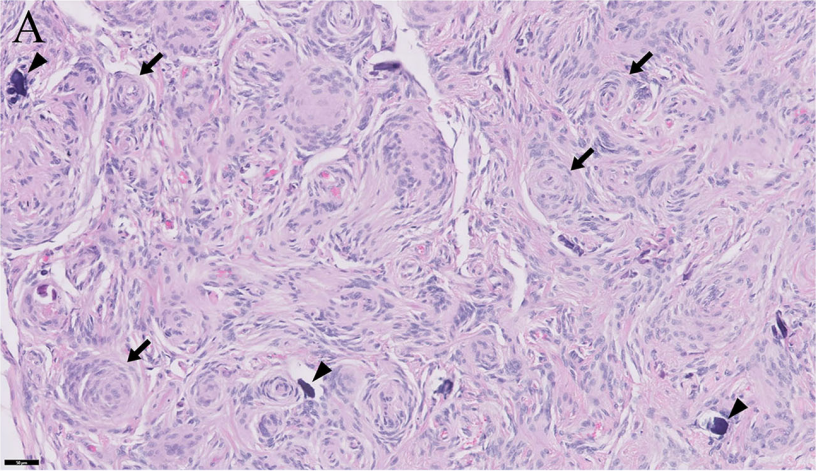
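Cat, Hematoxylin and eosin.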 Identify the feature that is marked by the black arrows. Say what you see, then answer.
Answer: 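Round nests of cells wrapped in concentric layers like onion skins. Flattened nuclei curve around the centre of each nest.
Concentric whorls.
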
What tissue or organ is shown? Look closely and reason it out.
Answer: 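Many concentric whorls of cells fill the field. Spindle-shaped cells in interlacing bundles lie between whorls. Scattered dark mineralized bodies.
Conclusion: meningioma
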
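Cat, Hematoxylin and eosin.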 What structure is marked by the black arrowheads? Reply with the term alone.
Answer: Psammoma bodies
